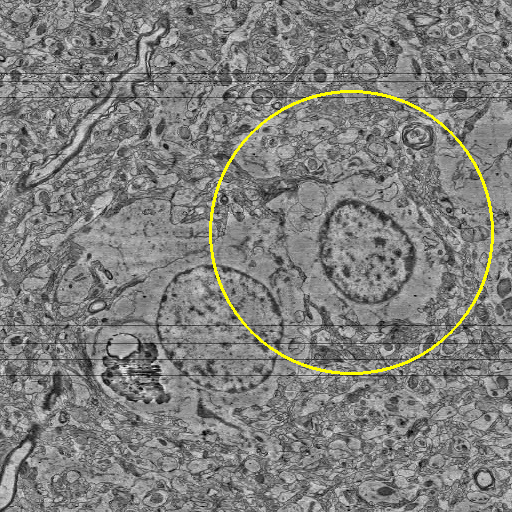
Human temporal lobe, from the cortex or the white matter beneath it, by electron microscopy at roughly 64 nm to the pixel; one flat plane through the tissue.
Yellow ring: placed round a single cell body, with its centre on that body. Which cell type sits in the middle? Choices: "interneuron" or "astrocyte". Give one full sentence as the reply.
It is an astrocyte whose cell body sits at the centre of the yellow ring.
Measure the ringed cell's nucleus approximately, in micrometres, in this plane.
The nucleus has a long axis of about 7 micrometres and a short axis of about 6 micrometres in this plane.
